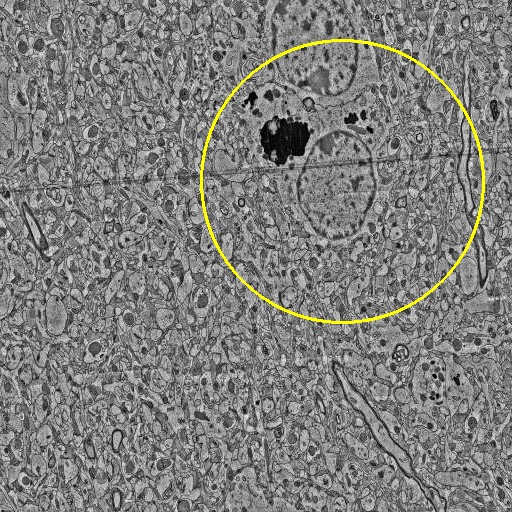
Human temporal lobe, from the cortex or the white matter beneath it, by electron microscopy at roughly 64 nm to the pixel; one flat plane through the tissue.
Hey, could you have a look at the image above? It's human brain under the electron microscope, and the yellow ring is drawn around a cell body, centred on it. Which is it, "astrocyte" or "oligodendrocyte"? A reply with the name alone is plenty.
astrocyte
